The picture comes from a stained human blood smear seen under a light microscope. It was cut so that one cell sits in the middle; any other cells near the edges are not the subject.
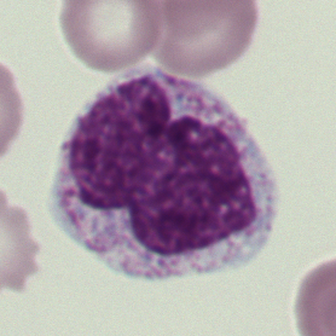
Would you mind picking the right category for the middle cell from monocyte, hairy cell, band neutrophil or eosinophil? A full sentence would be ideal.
The cell centred in this crop is categorized as a band neutrophil.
